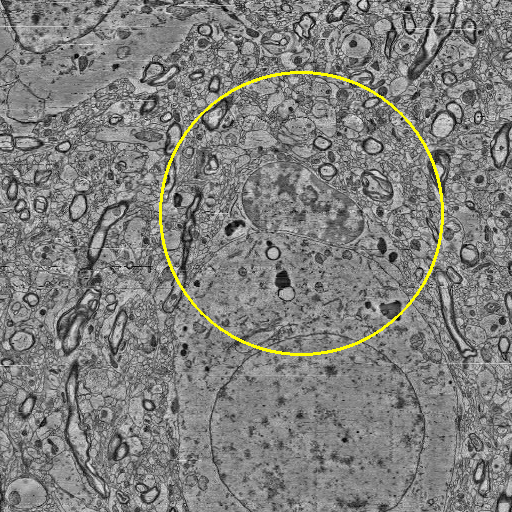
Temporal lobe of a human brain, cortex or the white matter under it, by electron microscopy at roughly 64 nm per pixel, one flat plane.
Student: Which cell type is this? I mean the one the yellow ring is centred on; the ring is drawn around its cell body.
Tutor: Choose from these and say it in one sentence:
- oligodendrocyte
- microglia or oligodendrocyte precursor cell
The cell the ring is centred on is a microglial cell or oligodendrocyte precursor cell.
